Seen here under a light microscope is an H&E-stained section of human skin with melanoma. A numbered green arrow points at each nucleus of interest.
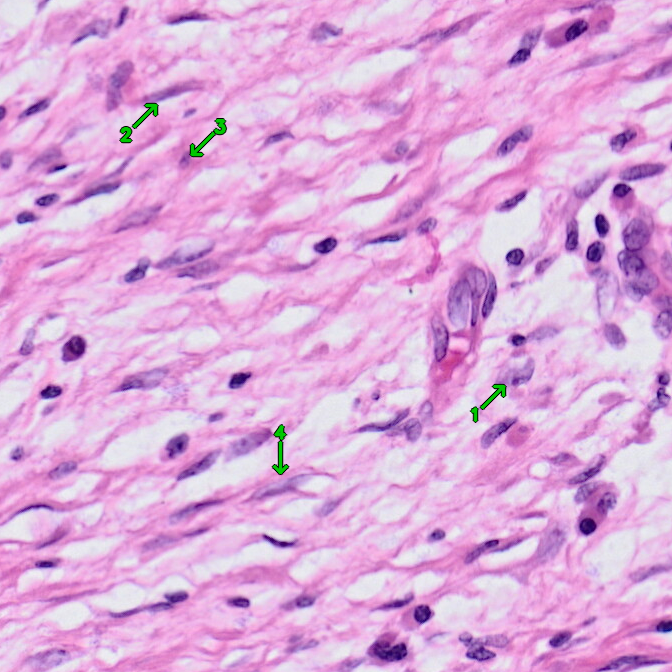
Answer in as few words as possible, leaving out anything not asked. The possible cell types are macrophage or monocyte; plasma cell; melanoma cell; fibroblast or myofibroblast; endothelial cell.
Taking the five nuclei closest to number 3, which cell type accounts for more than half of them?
fibroblast or myofibroblast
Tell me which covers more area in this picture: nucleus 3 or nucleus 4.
4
